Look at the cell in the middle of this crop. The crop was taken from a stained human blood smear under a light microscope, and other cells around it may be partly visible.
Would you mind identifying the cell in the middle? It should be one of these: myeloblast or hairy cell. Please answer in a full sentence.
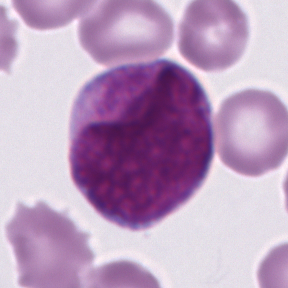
In the middle of this smear crop is a myeloblast.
